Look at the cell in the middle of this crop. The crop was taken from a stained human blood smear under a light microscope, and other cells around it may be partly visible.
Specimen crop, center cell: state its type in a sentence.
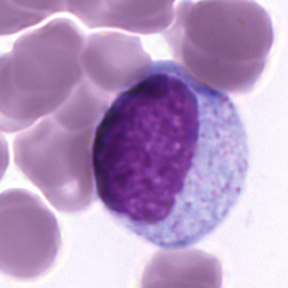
Looking at the middle of the crop, the cell there is a promyelocyte.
